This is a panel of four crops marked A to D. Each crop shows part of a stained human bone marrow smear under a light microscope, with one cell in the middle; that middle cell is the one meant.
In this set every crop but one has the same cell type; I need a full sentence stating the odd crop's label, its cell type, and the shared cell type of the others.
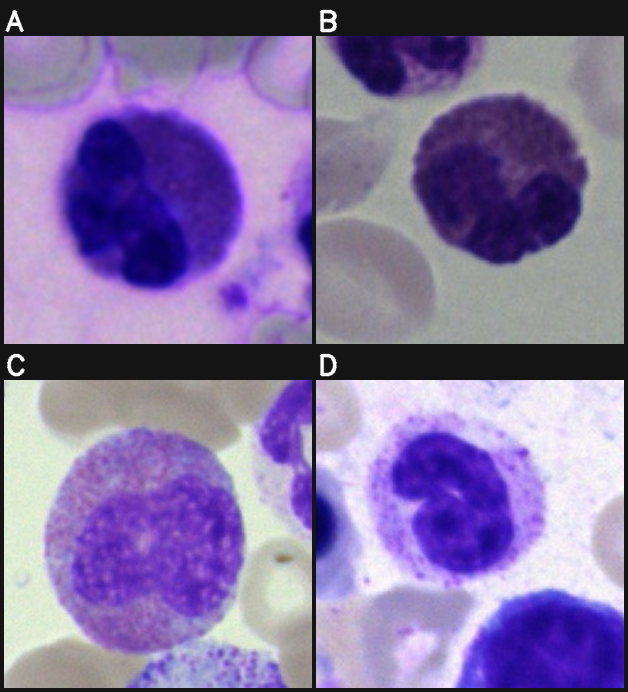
In this set the other crops all show eosinophils, and crop D shows a segmented neutrophil.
